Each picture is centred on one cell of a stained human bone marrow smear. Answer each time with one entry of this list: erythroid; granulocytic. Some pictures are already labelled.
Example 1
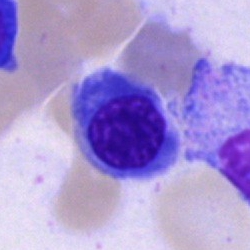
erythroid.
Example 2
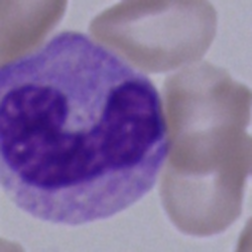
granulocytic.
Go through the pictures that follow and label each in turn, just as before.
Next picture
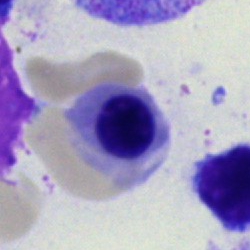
erythroid.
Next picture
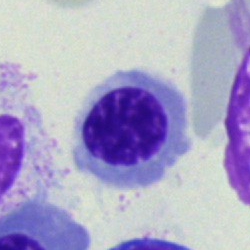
erythroid.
